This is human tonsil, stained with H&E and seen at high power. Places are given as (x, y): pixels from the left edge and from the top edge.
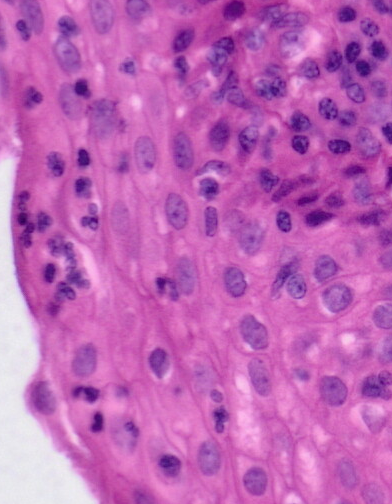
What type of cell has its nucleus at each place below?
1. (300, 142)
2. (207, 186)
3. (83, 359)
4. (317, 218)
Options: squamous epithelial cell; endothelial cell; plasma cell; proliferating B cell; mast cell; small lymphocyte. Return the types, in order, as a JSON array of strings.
["plasma cell", "squamous epithelial cell", "squamous epithelial cell", "squamous epithelial cell"]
